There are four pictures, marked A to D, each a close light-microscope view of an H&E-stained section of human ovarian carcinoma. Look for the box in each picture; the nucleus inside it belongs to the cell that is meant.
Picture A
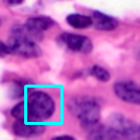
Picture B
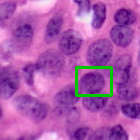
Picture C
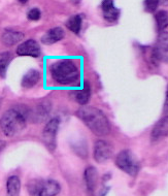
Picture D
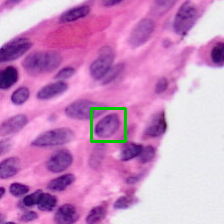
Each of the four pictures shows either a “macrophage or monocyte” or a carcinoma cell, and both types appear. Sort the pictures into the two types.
A: carcinoma cell
B: carcinoma cell
C: carcinoma cell
D: macrophage or monocyte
